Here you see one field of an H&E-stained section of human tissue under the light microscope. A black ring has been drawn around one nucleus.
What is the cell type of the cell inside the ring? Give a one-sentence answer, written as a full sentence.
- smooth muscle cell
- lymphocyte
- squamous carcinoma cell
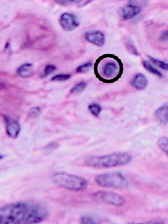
What the cell inside the ring represents is a smooth muscle cell.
